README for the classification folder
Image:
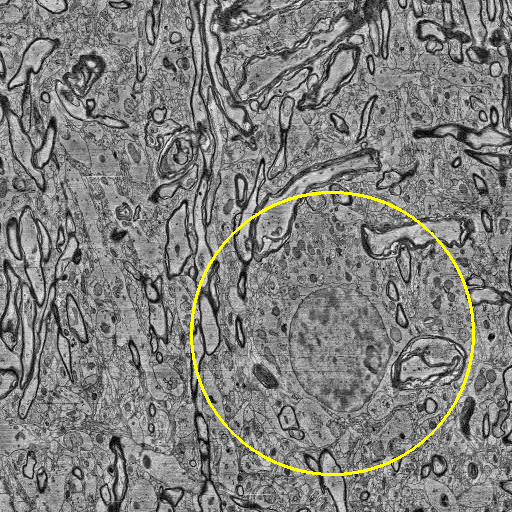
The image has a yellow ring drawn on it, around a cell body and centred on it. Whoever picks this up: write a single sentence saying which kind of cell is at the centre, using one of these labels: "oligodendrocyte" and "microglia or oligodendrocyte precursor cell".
This cell body is that of an oligodendrocyte.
